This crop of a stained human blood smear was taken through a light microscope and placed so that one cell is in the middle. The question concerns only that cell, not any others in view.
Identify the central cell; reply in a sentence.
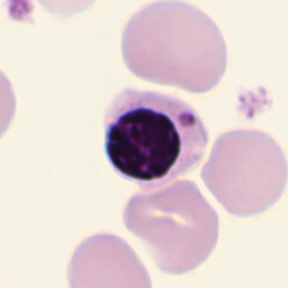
What the crop centres on is an erythroblast.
